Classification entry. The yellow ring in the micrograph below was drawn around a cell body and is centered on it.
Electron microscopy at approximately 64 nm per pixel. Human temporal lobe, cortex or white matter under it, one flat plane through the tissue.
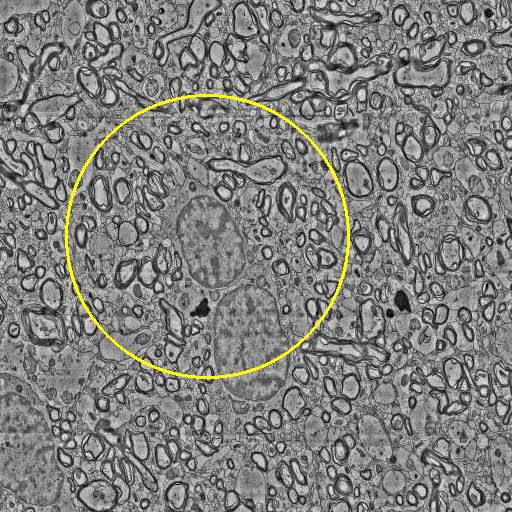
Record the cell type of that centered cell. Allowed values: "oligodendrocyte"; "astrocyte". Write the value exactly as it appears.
oligodendrocyte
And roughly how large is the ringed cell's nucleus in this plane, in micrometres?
In this plane, about 6 micrometres in length and 4 in width.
